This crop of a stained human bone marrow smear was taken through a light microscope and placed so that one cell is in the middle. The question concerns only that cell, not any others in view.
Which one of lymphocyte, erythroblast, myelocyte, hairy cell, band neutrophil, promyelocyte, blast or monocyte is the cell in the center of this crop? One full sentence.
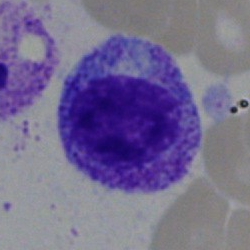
The cell the crop is centered on is a myelocyte.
